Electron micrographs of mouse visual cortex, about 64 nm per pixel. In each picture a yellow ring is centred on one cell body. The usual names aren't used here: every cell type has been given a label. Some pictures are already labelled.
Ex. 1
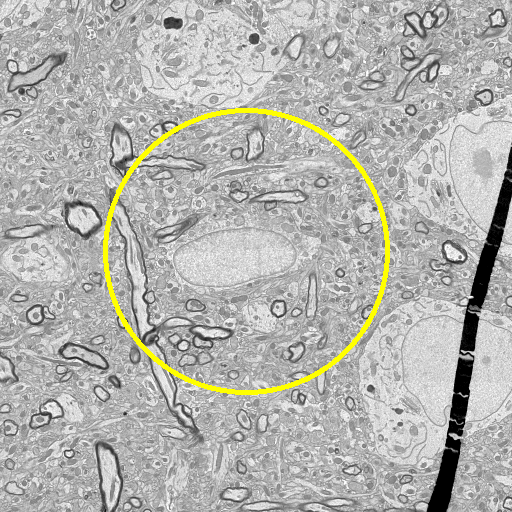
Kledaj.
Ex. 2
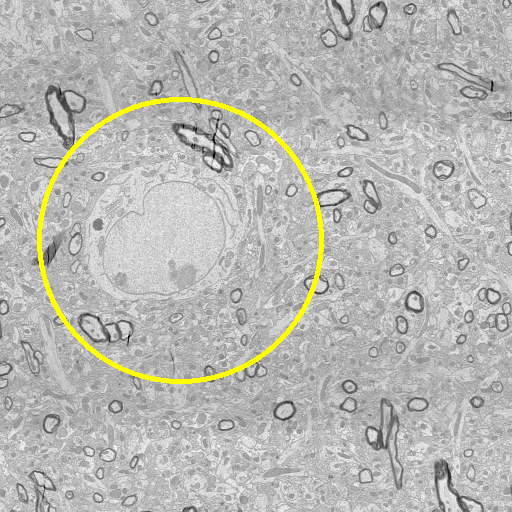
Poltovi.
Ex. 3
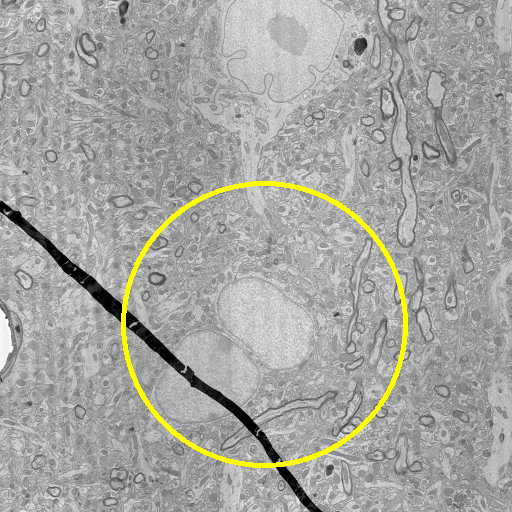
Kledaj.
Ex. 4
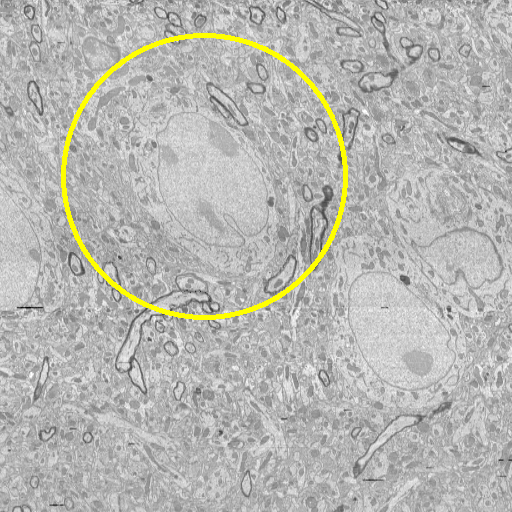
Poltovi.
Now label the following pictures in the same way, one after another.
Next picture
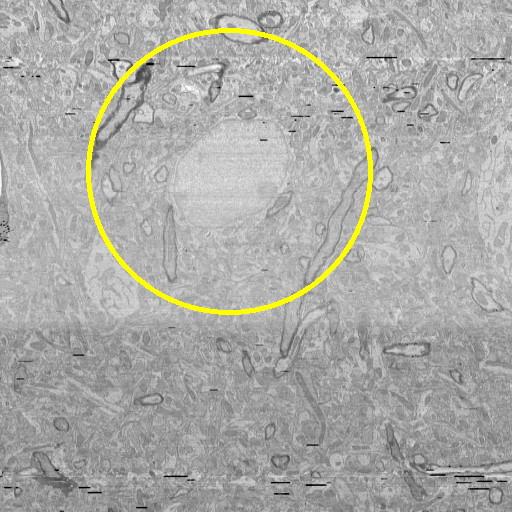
Kledaj.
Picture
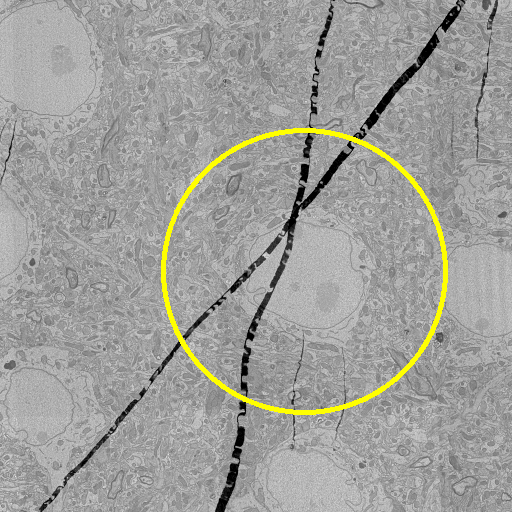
Poltovi.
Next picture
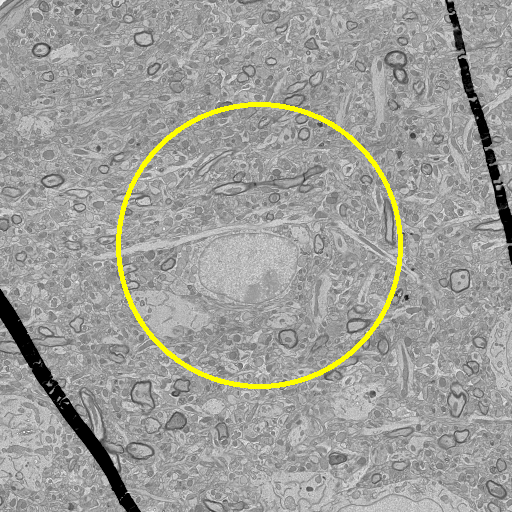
Kledaj.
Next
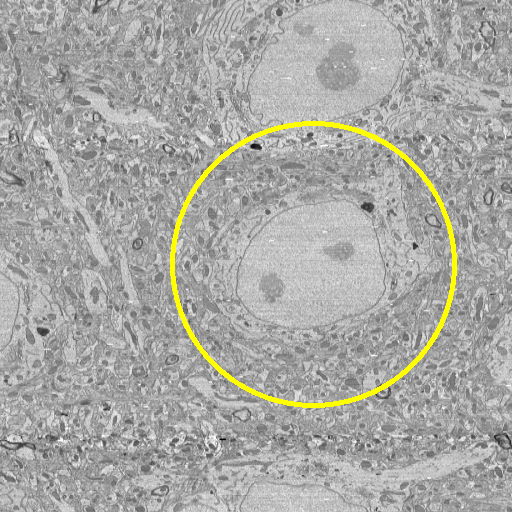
Poltovi.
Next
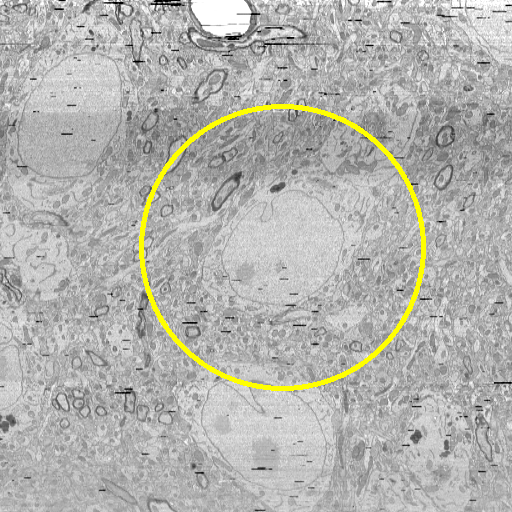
Poltovi.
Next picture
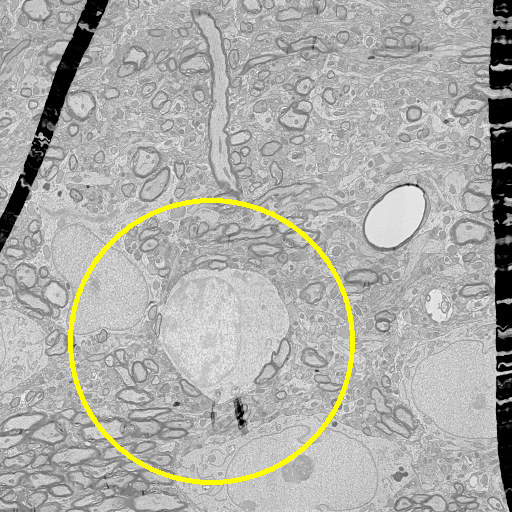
Kledaj.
